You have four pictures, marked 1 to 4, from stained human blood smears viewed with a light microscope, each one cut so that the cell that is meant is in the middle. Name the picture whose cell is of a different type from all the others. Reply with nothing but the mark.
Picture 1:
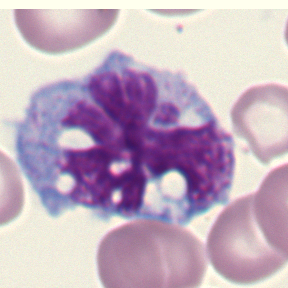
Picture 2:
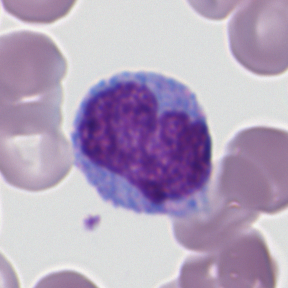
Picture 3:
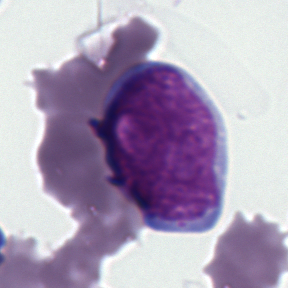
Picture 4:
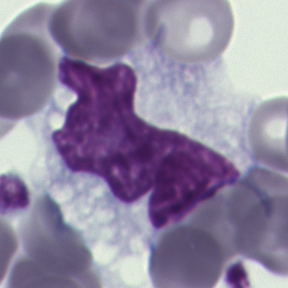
3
